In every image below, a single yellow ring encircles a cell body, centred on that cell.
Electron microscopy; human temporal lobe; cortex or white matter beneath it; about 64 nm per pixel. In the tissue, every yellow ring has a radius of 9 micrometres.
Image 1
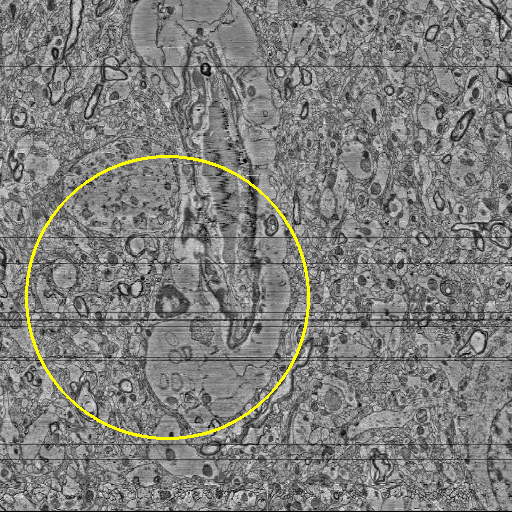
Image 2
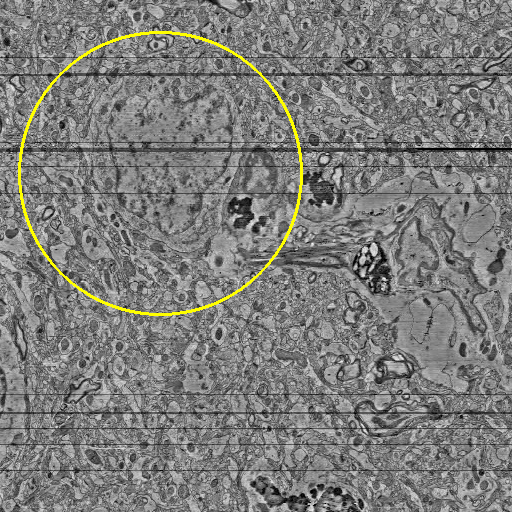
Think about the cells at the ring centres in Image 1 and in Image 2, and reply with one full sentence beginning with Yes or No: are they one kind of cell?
No, the cells centred in the rings of Image 1 and Image 2 are two kinds of cell.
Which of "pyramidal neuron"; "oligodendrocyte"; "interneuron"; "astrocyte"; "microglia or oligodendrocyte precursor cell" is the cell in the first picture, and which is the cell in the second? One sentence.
The two differ: the first cell is a microglial cell or oligodendrocyte precursor cell and the second is an interneuron.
